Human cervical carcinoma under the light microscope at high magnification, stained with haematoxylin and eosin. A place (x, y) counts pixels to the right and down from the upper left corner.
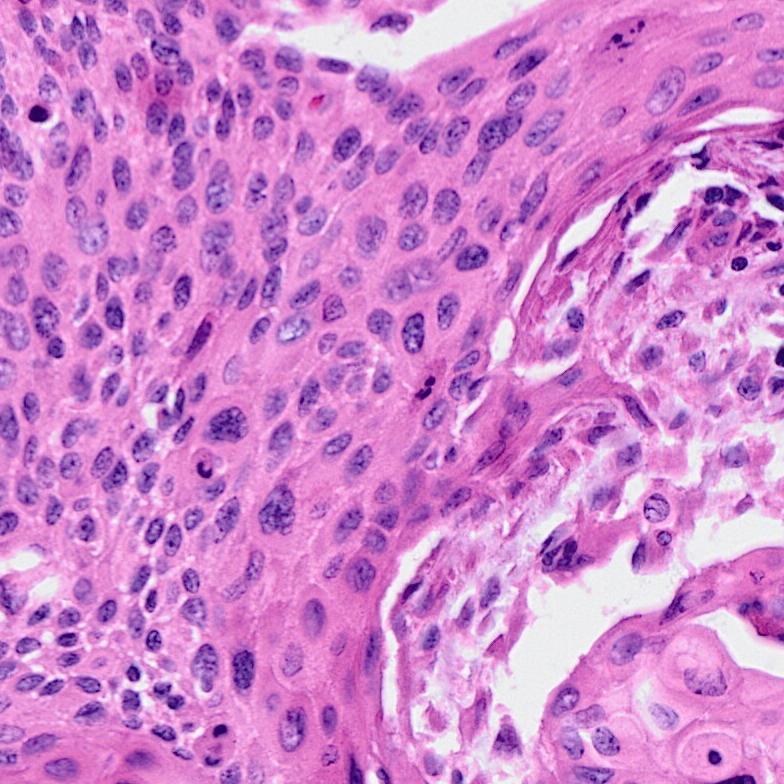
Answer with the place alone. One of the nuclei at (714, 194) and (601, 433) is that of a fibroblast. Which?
(601, 433)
